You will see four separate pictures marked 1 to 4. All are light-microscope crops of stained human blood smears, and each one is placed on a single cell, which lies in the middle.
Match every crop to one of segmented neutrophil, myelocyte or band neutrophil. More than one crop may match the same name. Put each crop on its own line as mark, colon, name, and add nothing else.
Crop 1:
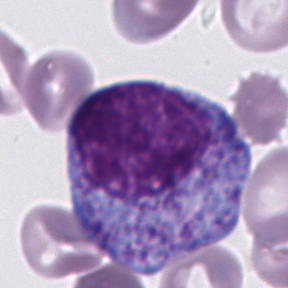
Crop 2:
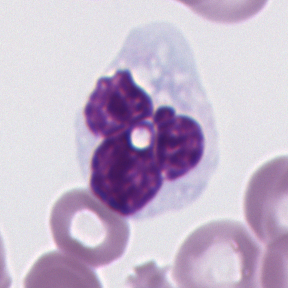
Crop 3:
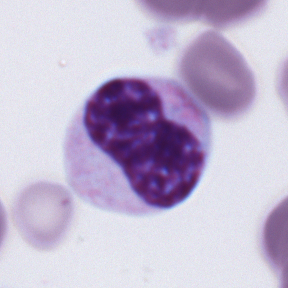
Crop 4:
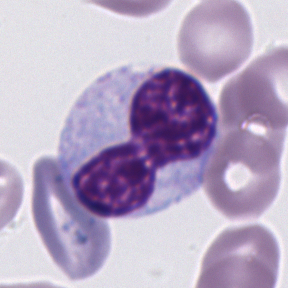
1: myelocyte
2: segmented neutrophil
3: segmented neutrophil
4: band neutrophil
